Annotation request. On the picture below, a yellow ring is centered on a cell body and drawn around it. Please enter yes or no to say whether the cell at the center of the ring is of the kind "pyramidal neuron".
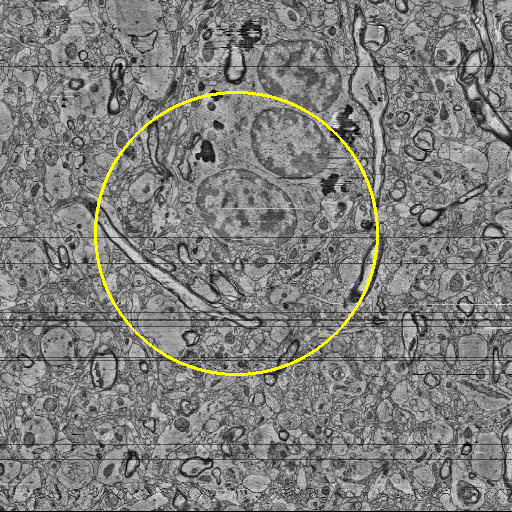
no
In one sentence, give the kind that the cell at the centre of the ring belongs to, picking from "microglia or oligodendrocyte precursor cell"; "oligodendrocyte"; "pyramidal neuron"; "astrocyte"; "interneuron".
At the centre of the ring sits an oligodendrocyte.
